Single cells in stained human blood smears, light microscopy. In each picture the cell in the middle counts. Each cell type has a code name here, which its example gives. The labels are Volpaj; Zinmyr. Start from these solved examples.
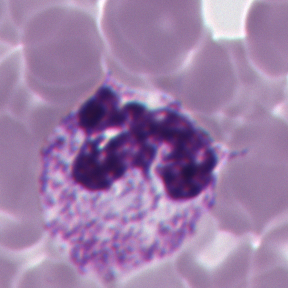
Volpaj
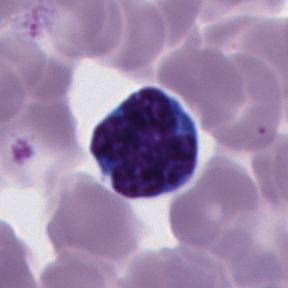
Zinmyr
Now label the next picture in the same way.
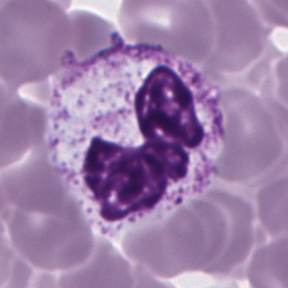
Volpaj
